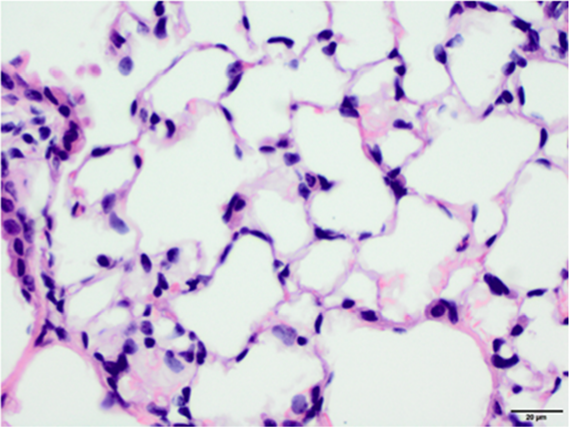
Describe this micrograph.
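This lung tissue is made of thin, delicate pink walls that enclose wide, empty, clear spaces. Small, dark purple nuclei sit scattered along these walls. The walls are one or a few cells thick, with no crowding of cells. At the left edge a denser band of tissue with packed nuclei is visible. No pink deposits or clusters of inflammatory cells are seen.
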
